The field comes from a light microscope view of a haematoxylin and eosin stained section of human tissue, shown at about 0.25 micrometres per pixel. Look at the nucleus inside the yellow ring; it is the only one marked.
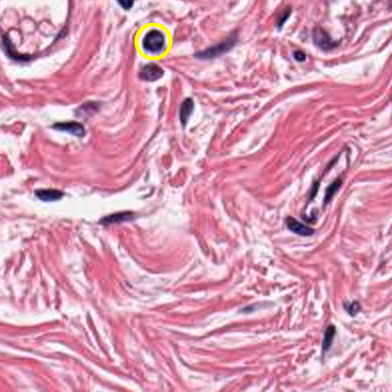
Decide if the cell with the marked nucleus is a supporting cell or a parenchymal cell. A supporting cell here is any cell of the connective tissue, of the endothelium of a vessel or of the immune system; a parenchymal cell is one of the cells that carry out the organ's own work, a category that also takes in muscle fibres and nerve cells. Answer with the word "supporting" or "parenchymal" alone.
supporting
